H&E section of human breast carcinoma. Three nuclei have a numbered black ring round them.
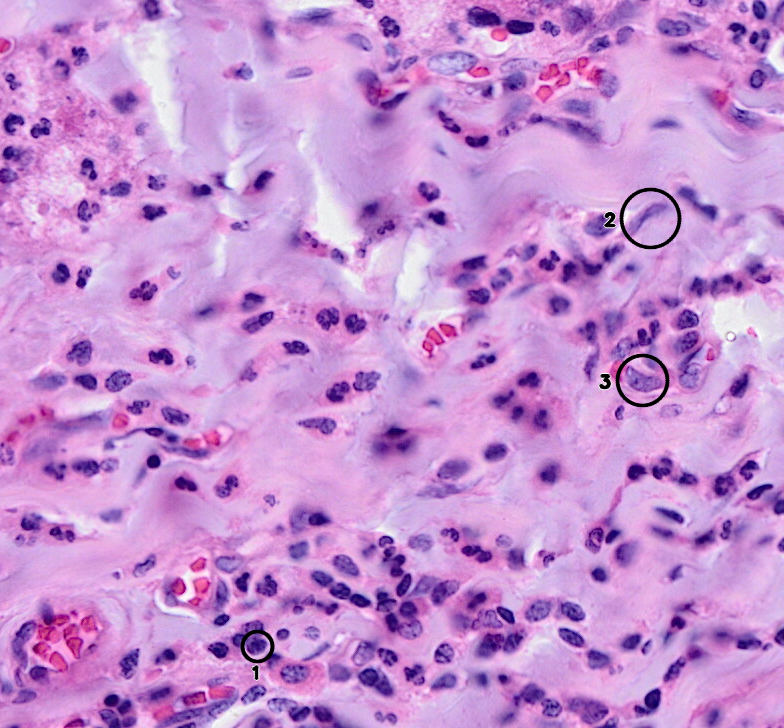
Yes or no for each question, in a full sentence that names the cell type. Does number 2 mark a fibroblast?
Yes, that is correct: the cell numbered 2 is a fibroblast.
